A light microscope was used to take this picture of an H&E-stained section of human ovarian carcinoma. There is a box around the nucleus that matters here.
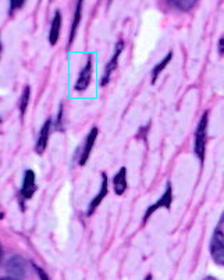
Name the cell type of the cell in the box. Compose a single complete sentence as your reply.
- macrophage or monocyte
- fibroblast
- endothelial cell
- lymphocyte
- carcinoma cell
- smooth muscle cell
In the stained section, the cell in the box is a fibroblast.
